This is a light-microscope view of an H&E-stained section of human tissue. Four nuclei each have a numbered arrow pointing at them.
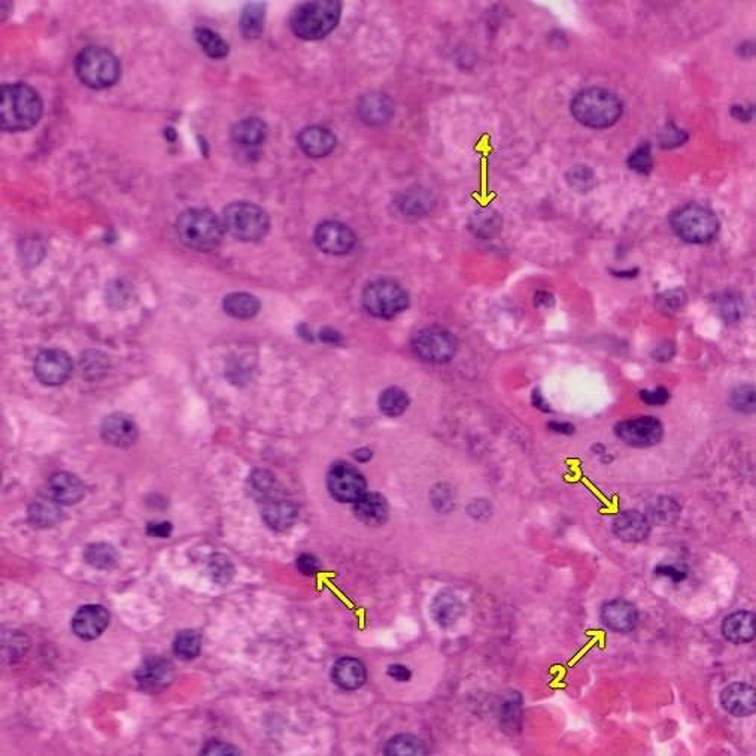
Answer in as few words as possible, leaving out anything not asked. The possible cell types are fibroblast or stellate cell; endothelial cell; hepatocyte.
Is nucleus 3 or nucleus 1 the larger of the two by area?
3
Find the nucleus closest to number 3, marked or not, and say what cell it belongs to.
hepatocyte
